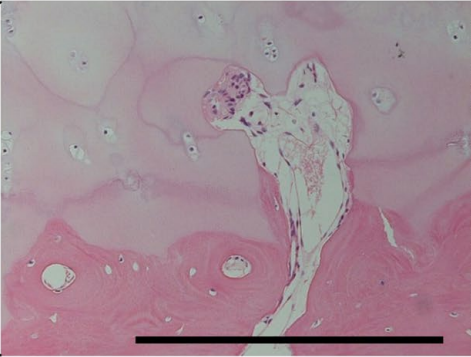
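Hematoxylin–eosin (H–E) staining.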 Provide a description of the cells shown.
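This is the junction between cartilage and the bone beneath it, with pale pink cartilage matrix above and more intensely pink bone below. Scattered chondrocytes sit singly or in small groups within rounded lacunae in the cartilage. A narrow channel runs up from the bone into the cartilage and widens at its upper end into a lobed space. This space holds a loose cluster of cells with dark purple nuclei, along with thin strands and some pale reddish material, and flattened cells line its walls. In the bone below, small rounded canals with lining cells are cut in cross-section.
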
